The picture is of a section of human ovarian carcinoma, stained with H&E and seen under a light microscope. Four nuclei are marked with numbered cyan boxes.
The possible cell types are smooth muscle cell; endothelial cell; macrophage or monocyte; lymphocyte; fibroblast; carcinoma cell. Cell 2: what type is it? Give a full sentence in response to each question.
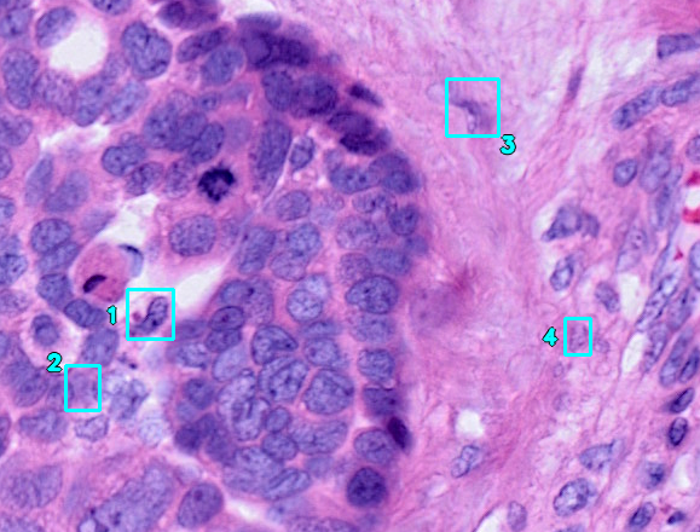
Cell 2, among those numbered, is a carcinoma cell.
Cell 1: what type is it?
Regarding cell 1, this one is a macrophage or monocyte.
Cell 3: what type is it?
Recognised here as a fibroblast is the cell numbered 3.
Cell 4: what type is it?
In this section, the cell numbered 4 is a fibroblast.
